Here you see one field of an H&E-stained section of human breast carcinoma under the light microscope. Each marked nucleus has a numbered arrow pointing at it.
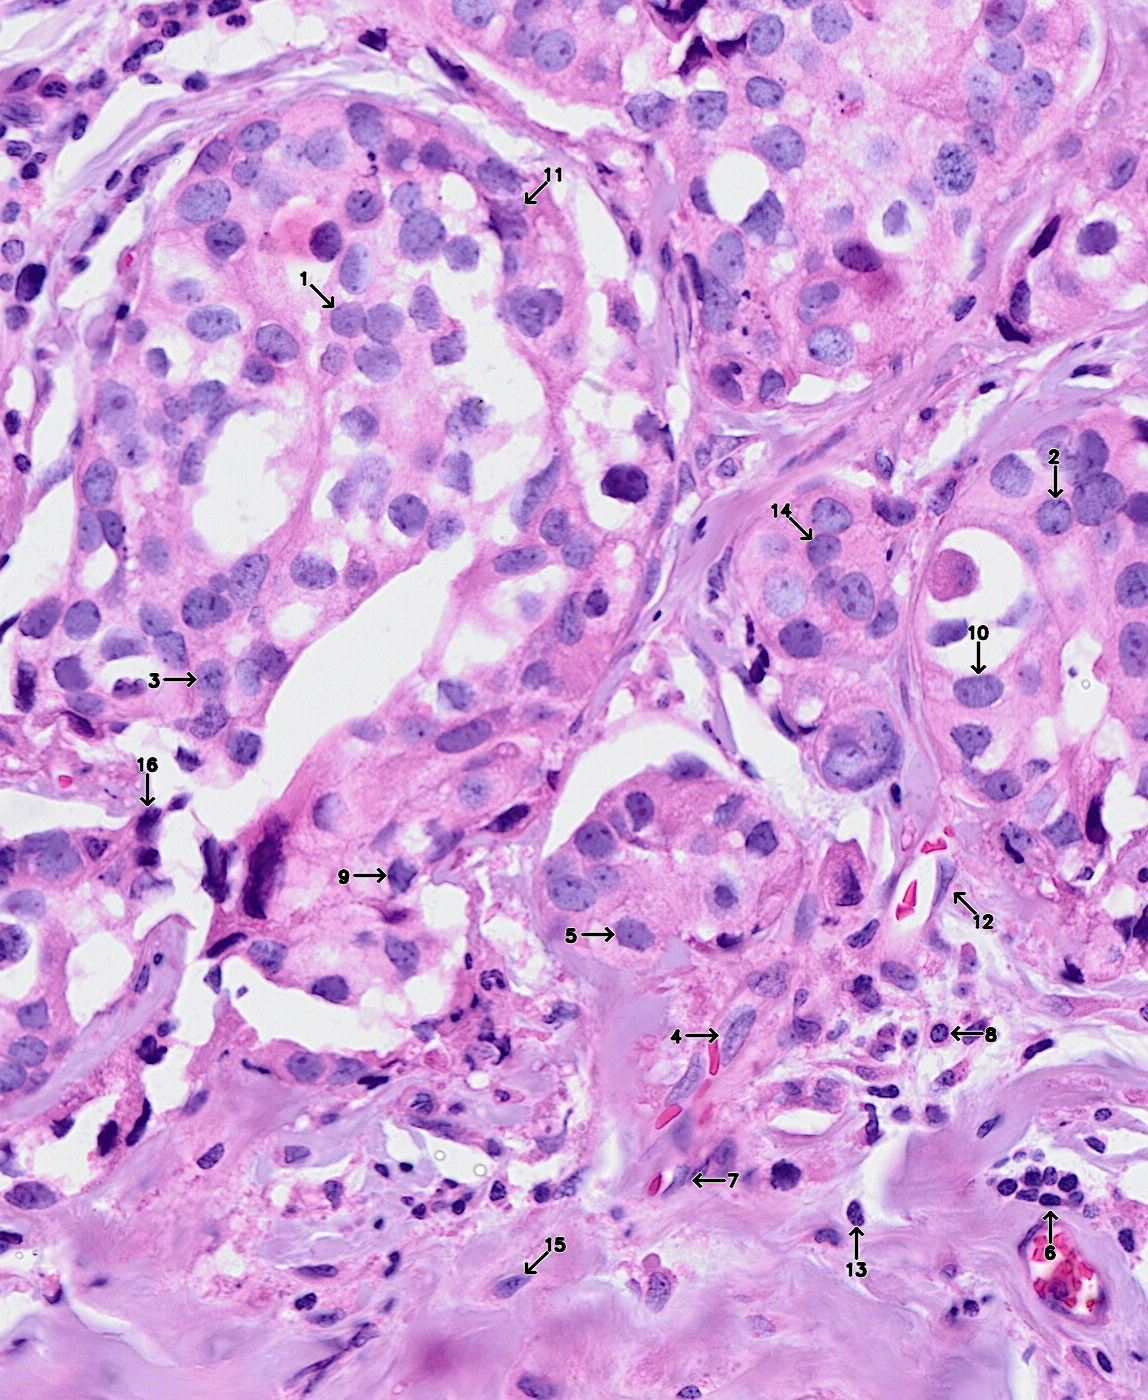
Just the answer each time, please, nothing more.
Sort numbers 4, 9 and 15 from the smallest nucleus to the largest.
15, 9, 4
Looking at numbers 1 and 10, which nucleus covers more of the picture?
10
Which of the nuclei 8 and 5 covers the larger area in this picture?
5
